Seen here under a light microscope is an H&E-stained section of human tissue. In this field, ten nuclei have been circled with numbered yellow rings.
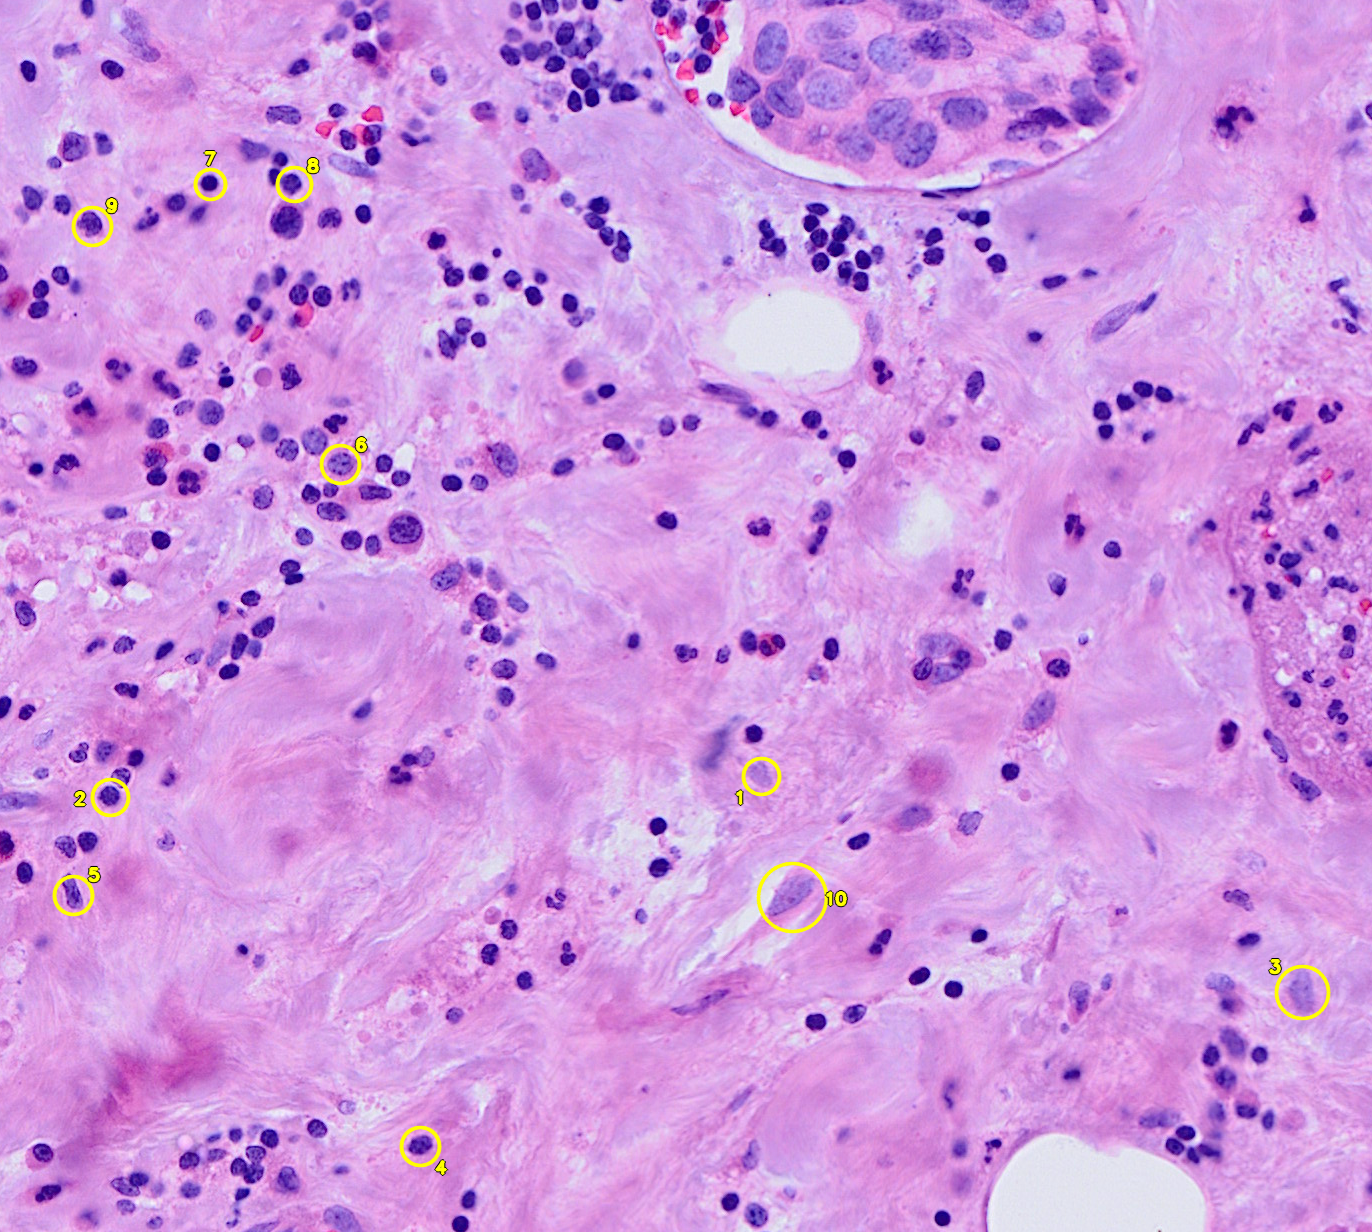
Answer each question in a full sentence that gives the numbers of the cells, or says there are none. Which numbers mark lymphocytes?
The cells whose numbers are 2, 4, 5, 7, 8 and 9 are lymphocytes.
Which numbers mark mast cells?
Among the numbered cells, cell 6 alone is a mast cell.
